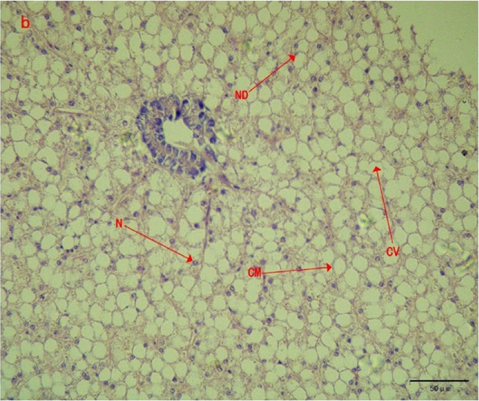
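Hepatocytes of this liver are markedly altered by vacuolization: almost every cell is filled by a large, clear, empty-looking space. The cytoplasm is reduced to thin pale pink strands that outline the cells in a honeycomb-like network. The small dark nuclei are no longer central. They are pressed to the edges of the cells against the cell membrane. Near the centre lies a small round structure lined by a ring of cuboidal cells with bluish nuclei around a lumen. Compared with normal liver, the parenchyma looks pale and foamy rather than solid and purple.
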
